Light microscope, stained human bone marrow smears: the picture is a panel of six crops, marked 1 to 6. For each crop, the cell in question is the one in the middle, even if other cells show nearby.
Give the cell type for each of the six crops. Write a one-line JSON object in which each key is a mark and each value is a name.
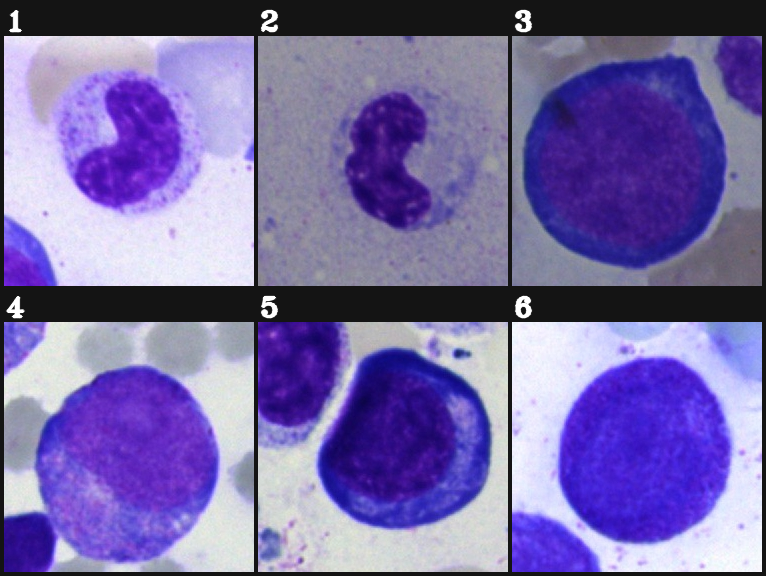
{"1": "band neutrophil", "2": "band neutrophil", "3": "proerythroblast", "4": "promyelocyte", "5": "proerythroblast", "6": "promyelocyte"}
